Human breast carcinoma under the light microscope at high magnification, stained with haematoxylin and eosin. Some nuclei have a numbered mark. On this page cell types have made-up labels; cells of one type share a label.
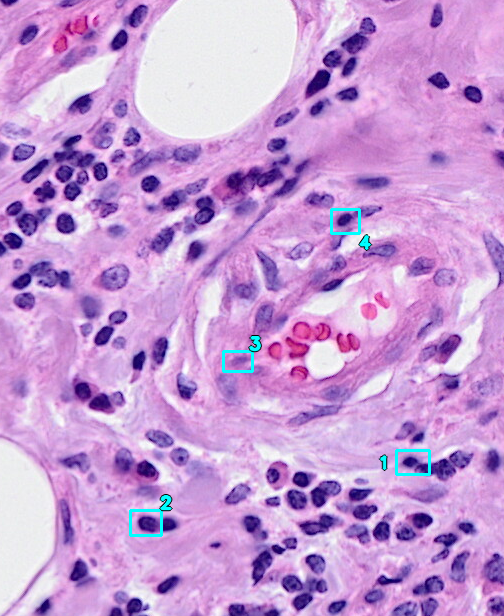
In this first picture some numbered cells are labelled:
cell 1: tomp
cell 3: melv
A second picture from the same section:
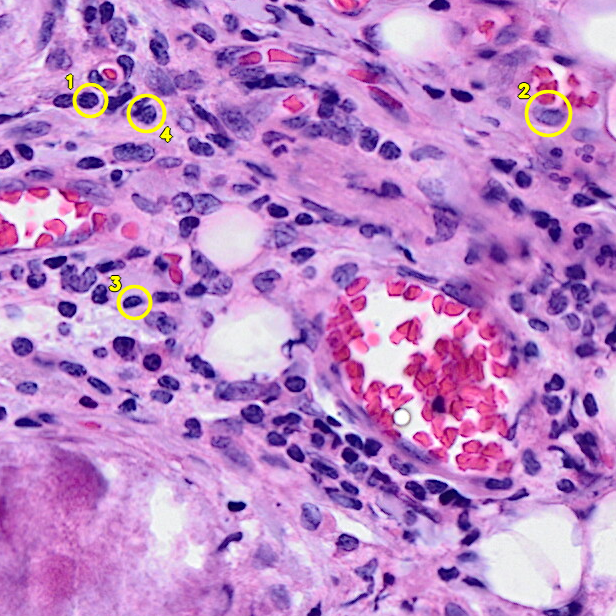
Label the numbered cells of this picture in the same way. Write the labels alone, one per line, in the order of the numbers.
tomp
melv
tomp
tomp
